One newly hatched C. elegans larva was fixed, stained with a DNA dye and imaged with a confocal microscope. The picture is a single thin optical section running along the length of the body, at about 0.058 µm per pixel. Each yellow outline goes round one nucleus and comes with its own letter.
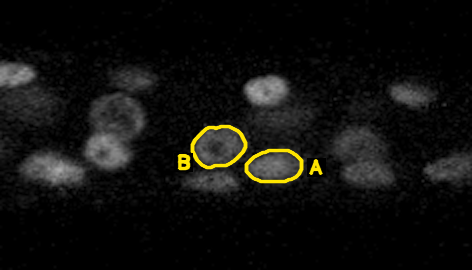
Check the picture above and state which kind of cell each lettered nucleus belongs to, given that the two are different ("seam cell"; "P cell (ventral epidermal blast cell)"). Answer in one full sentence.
The nucleus A is that of a P cell (ventral epidermal blast cell), while B is that of a seam cell.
